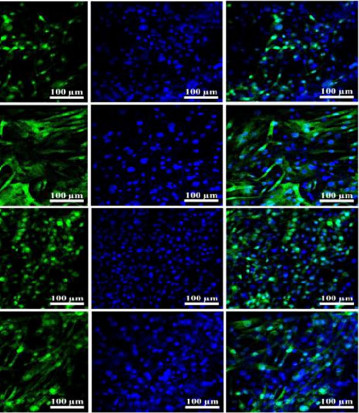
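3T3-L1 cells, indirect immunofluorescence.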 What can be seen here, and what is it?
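This is a grid of fluorescence images of cultured cells, with a green channel, a blue channel and the two merged. The blue channel shows many round to oval nuclei scattered across each field. The green signal fills the cell bodies, which in some rows appear as compact clusters around the nuclei and in others as elongated, spread cells.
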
